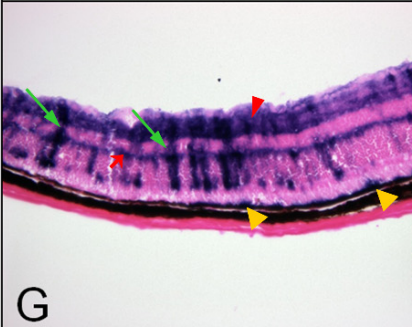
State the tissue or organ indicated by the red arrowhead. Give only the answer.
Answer: inner plexiform layer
